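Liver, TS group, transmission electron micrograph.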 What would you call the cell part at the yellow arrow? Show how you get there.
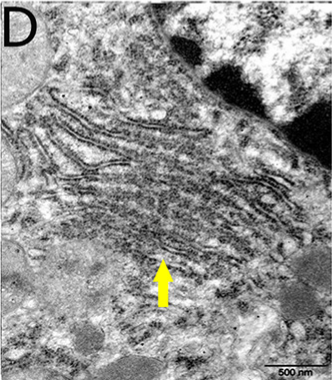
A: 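The arrow points at a stack of parallel dark membranes. The stacked membranes lie beside a nucleus with dark clumped chromatin. So: endoplasmic reticulum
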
